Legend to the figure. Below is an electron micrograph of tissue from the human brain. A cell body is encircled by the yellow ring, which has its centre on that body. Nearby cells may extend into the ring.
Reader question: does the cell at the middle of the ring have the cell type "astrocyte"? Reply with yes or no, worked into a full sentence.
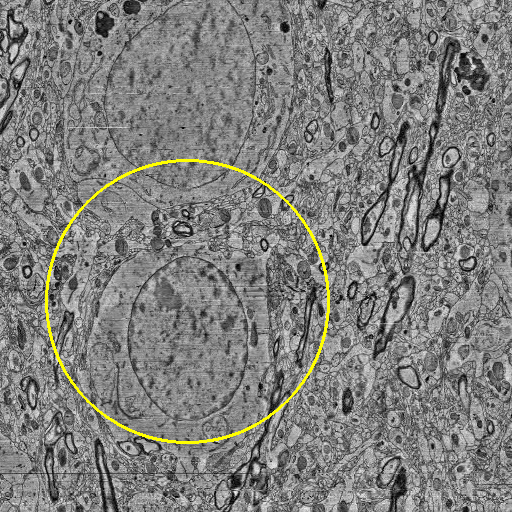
Yes, the cell sitting at the middle of the ring in the picture has that cell type.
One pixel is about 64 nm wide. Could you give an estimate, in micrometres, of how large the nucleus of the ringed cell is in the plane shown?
The nucleus works out at approximately 11 by 8 micrometres in this plane.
